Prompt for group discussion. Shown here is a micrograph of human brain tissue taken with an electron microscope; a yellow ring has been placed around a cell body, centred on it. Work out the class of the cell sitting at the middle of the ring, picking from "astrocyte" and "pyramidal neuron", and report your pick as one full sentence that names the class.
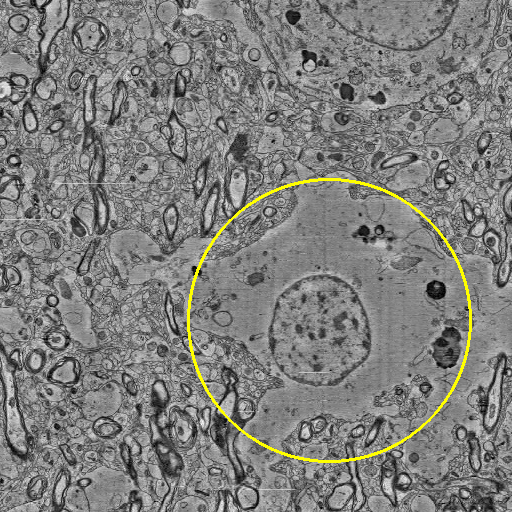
The cell sitting at the middle of the yellow ring is an astrocyte.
